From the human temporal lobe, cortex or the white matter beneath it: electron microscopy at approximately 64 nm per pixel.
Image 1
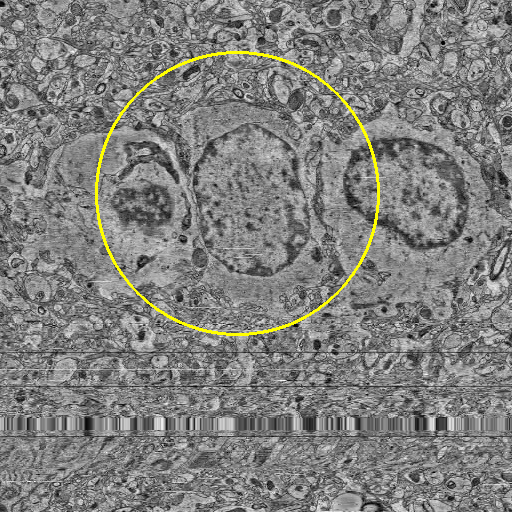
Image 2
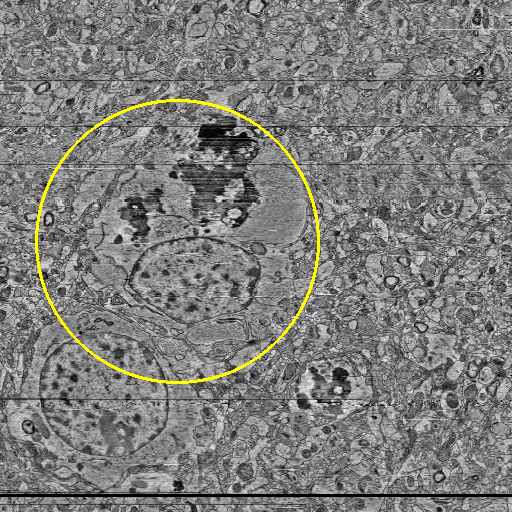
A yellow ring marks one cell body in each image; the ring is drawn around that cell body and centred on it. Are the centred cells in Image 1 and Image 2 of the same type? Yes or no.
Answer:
yes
